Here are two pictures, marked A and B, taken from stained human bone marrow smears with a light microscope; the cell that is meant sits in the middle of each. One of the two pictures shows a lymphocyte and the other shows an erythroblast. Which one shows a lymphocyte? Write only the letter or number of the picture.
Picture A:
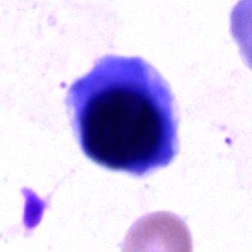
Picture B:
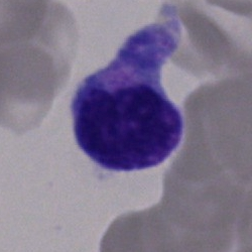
B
